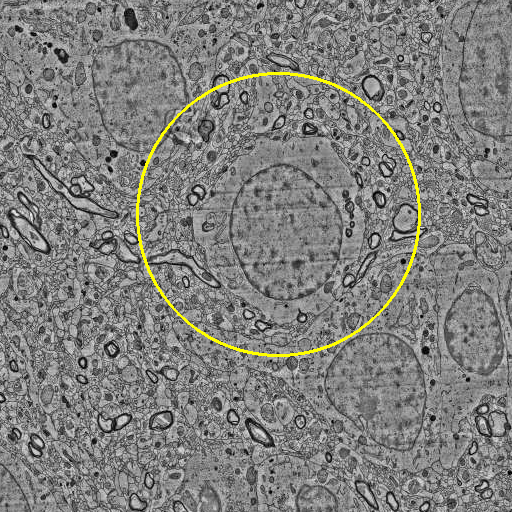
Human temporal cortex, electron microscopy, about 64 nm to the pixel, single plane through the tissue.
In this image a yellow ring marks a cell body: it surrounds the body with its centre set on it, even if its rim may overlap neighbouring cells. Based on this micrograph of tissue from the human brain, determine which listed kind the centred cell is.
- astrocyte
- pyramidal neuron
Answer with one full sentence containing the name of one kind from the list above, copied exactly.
It is an astrocyte whose body the yellow ring encloses at its centre.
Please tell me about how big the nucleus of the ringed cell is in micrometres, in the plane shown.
In this plane, about 9 micrometres in length and 7 in width.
